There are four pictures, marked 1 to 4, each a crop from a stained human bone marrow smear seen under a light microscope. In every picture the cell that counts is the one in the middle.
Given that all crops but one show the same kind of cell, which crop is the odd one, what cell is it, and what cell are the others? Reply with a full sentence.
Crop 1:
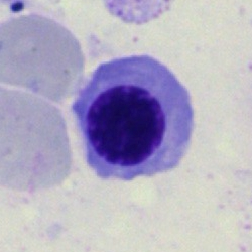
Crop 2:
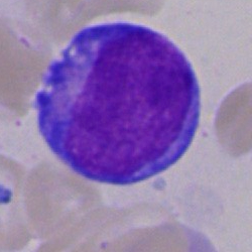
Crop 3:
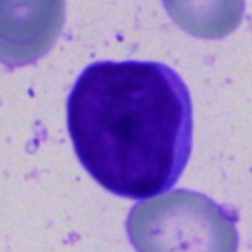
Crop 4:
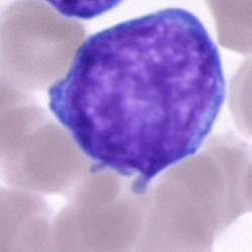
Identified in crop 1 is an erythroblast, whereas the other crops all show blasts.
